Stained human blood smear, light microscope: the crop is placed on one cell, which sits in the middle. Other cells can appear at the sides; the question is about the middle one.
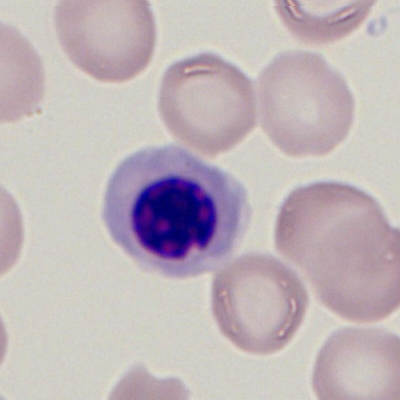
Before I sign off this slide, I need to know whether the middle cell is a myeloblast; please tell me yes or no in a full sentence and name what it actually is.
No, a myeloblast is not what the central cell is; it is an erythroblast.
